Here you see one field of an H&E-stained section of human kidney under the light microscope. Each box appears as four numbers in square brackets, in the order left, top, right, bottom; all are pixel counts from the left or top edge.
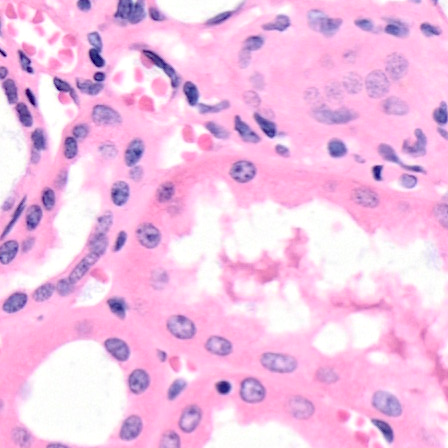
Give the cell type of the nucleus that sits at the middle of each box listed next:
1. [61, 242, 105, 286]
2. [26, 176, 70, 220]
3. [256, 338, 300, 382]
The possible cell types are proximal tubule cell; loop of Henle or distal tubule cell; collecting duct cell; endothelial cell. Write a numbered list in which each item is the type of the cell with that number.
1. collecting duct cell
2. collecting duct cell
3. proximal tubule cell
